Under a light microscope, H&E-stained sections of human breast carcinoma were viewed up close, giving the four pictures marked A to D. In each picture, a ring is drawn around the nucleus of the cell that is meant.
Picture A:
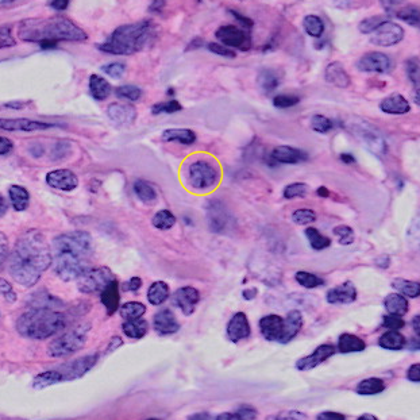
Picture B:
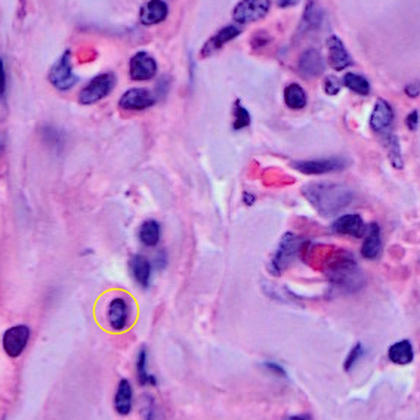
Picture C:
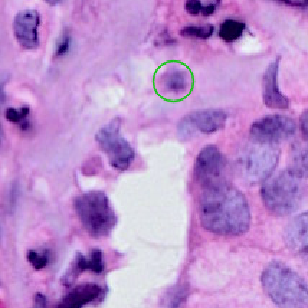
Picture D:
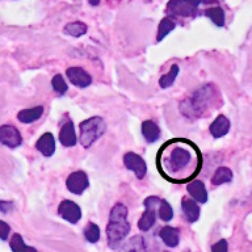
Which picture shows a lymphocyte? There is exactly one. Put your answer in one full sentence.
The lymphocyte is the one in picture D.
